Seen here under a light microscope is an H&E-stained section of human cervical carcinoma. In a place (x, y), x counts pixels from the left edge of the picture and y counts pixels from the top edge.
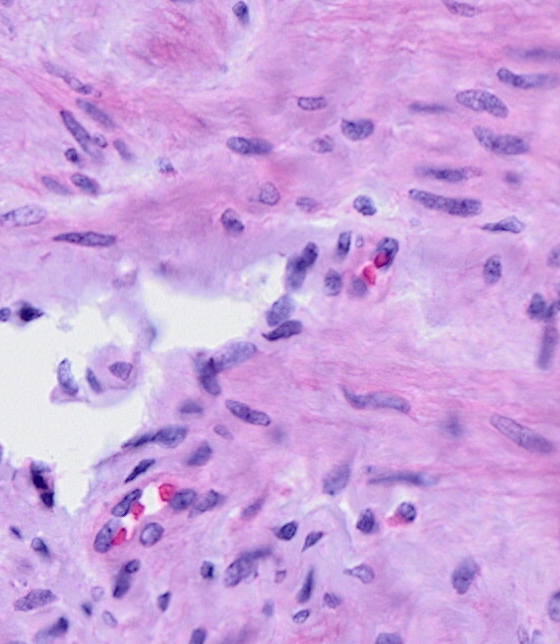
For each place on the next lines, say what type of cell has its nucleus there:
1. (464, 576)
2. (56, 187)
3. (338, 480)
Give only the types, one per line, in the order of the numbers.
fibroblast
smooth muscle cell
fibroblast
